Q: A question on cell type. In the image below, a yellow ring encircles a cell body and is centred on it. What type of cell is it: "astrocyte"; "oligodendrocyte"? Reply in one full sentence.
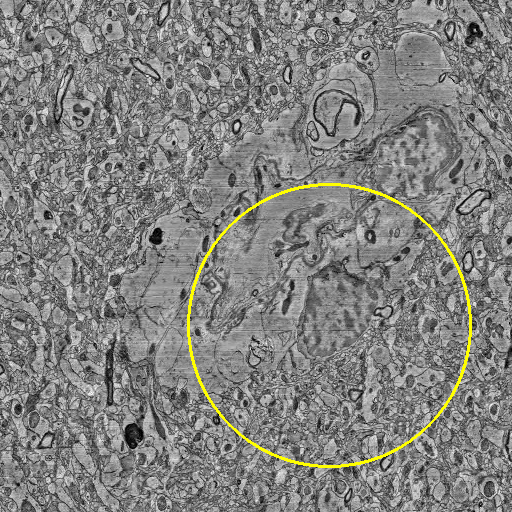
It is an oligodendrocyte whose cell body sits at the centre of the yellow ring in the image.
